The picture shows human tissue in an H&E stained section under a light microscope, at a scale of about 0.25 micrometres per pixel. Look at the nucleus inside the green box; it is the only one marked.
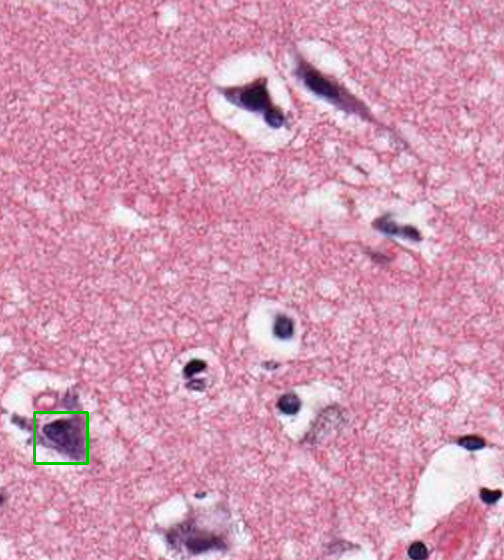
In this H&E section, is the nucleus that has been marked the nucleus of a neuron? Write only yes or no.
yes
